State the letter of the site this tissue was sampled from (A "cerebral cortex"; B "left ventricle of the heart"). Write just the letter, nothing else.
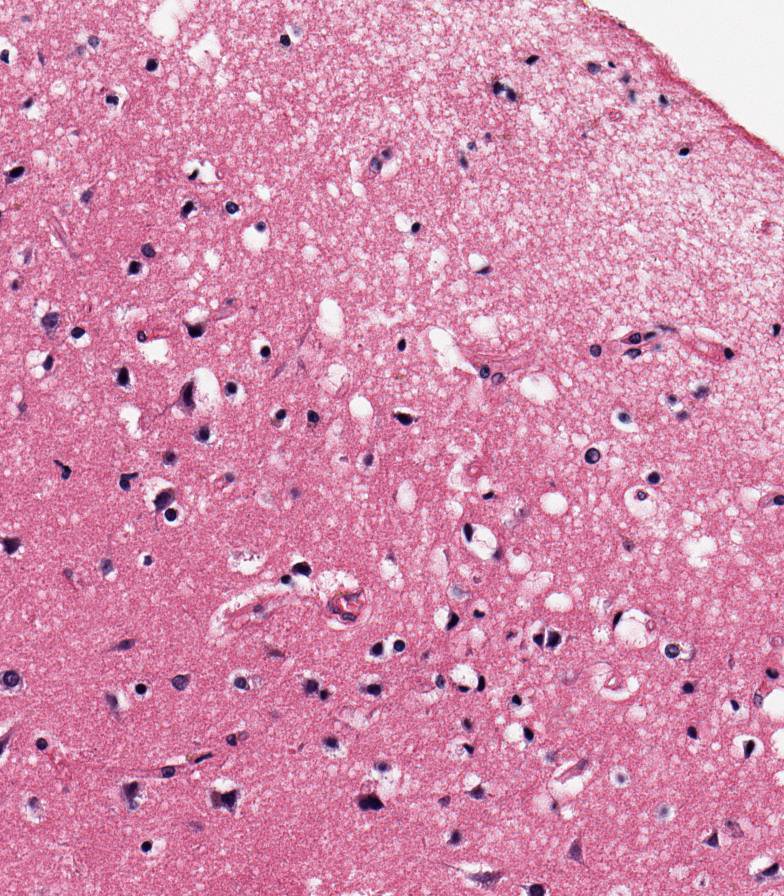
A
